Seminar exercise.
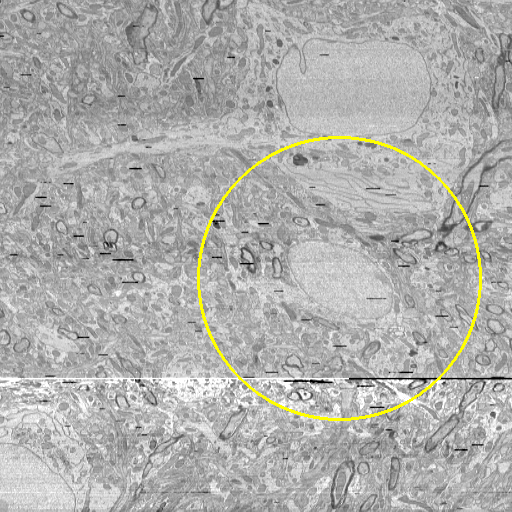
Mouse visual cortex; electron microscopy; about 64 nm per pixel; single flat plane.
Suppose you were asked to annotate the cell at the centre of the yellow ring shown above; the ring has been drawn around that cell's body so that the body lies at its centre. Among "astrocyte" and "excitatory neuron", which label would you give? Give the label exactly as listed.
astrocyte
